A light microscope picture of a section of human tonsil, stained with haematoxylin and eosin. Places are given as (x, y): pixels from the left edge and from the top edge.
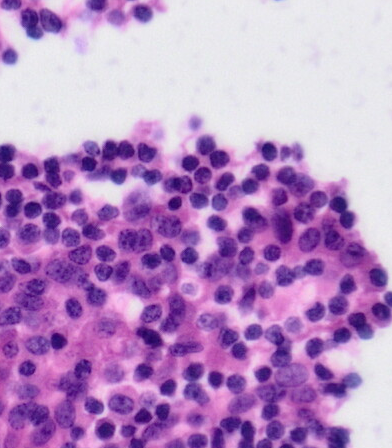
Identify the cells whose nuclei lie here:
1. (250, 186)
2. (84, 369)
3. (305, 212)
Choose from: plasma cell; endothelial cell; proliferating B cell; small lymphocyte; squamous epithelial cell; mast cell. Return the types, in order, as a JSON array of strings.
["small lymphocyte", "plasma cell", "plasma cell"]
